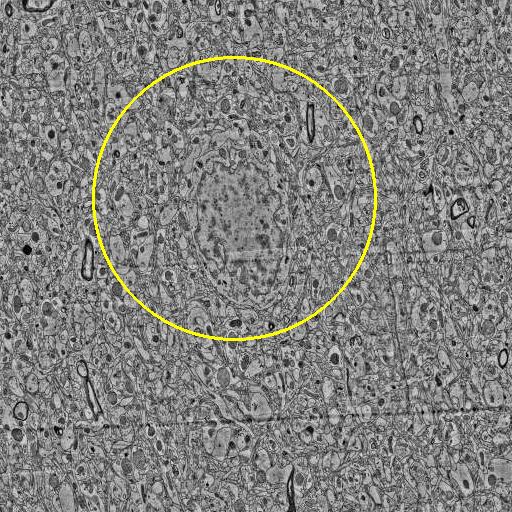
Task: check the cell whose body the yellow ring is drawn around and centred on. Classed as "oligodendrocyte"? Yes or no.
No, it belongs to another class.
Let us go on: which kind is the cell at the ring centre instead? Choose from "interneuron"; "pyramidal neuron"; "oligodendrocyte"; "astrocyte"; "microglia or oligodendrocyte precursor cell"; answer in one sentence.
Instead, the ringed cell here is an interneuron.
